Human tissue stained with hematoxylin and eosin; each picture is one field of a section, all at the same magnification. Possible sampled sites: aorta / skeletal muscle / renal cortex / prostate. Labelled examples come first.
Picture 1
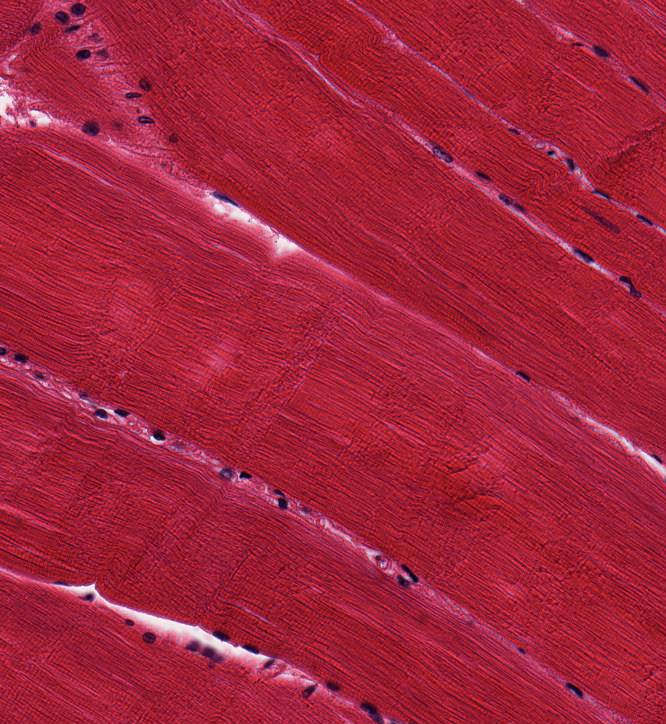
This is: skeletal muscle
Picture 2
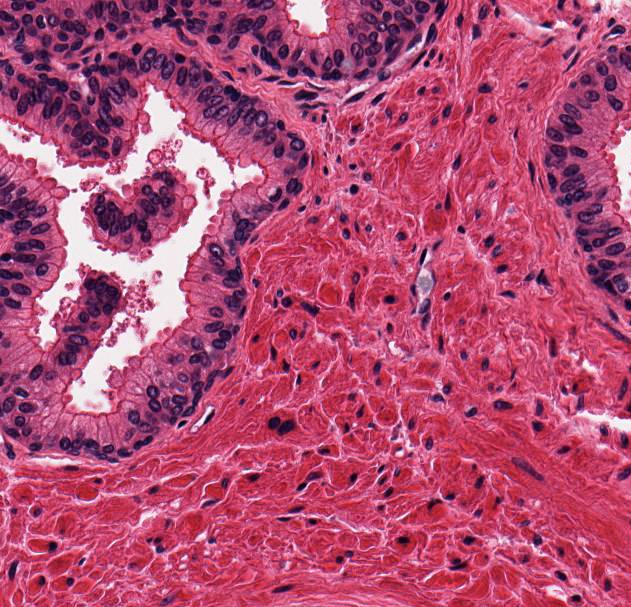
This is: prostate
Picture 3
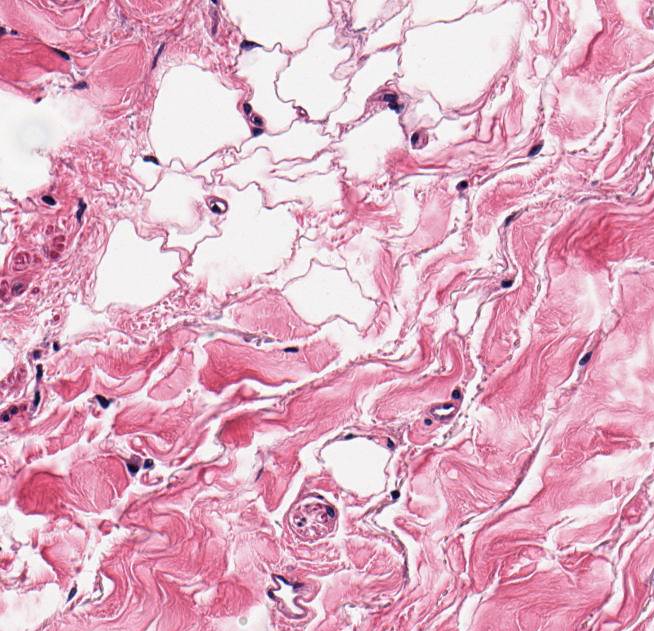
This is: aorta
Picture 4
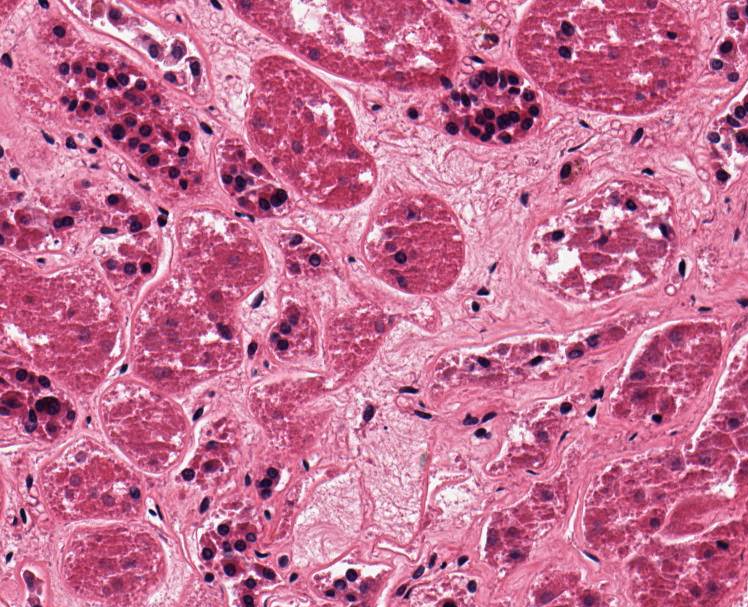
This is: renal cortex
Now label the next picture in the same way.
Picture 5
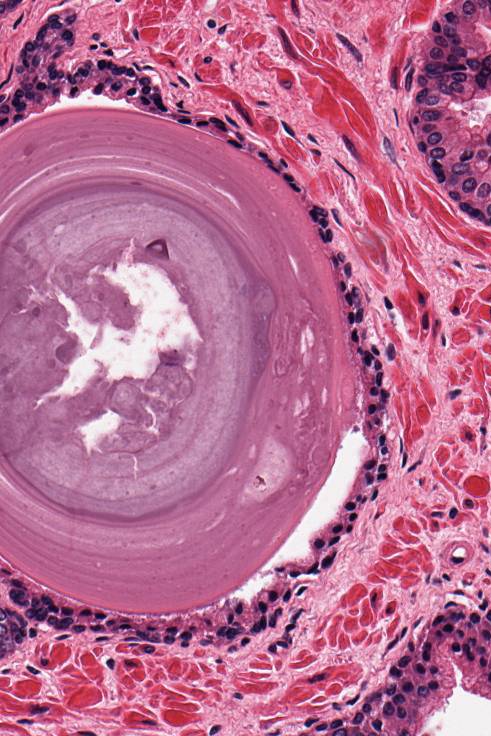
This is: prostate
